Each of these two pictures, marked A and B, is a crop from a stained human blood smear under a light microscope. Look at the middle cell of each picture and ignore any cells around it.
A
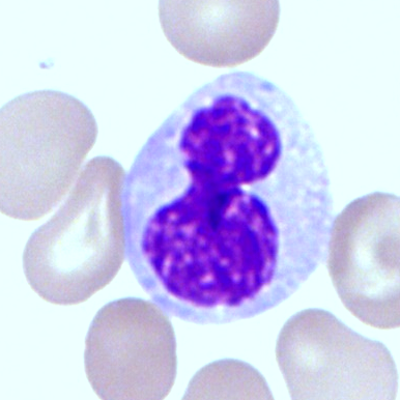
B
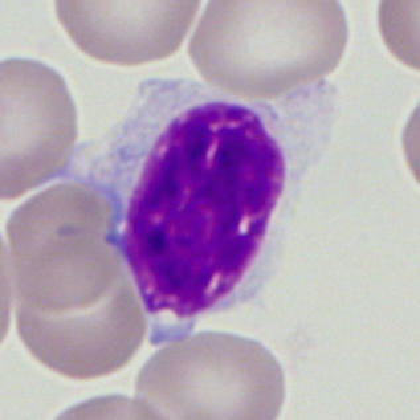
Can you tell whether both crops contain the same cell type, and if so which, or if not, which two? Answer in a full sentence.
No, the cell shown in crop A is a monocyte, and the cell shown in crop B is a lymphocyte.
